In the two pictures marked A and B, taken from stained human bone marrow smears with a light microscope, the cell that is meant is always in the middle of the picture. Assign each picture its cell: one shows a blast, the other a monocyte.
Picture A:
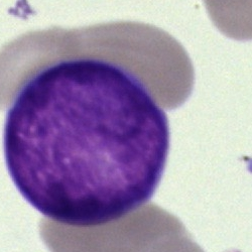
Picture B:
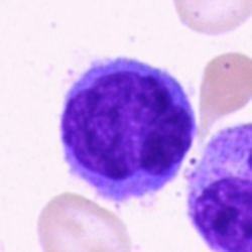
A: blast
B: monocyte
